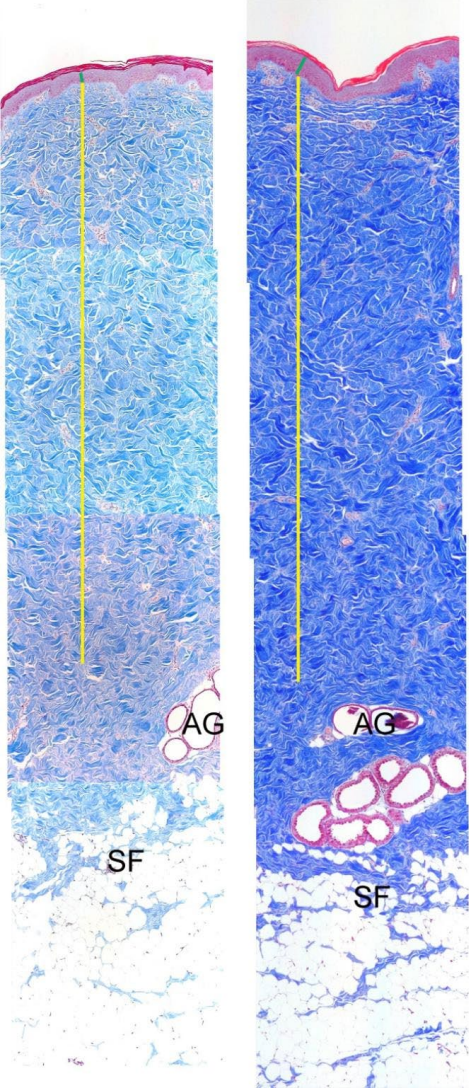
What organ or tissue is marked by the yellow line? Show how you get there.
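The yellow line runs through the thick blue-stained fibrous layer beneath the thin pink surface layer. The layer it spans is made of interwoven blue collagen bundles. The line ends above the glands and the fat. The answer: dermis.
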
